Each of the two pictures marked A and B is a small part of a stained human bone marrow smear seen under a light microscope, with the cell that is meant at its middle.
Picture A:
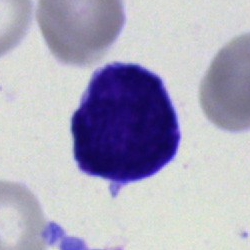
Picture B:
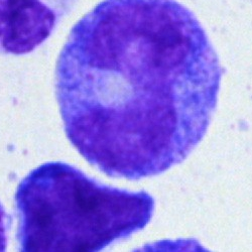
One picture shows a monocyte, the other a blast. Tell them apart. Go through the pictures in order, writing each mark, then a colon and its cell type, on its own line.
A: blast
B: monocyte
